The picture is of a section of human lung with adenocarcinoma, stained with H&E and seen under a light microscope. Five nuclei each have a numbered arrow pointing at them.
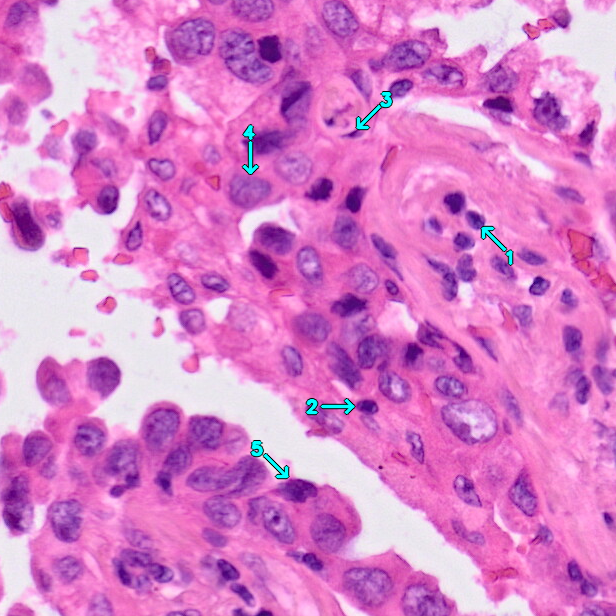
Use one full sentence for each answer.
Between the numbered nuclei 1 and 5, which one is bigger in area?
Nucleus 5 is larger, with an area about 2.5 times that of nucleus 1.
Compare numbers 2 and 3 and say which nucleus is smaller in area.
Nucleus 3 is the smaller one; nucleus 2 covers about 2 times its area.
